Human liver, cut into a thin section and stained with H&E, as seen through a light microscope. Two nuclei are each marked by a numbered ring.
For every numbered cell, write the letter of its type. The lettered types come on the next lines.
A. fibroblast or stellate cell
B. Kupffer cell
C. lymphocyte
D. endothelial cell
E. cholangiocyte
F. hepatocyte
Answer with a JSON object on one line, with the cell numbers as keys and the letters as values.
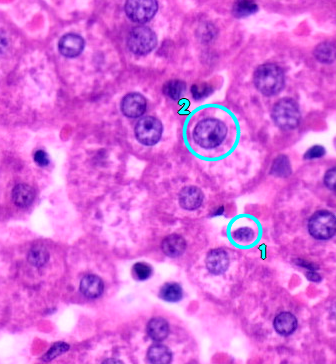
{"1": "C", "2": "F"}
